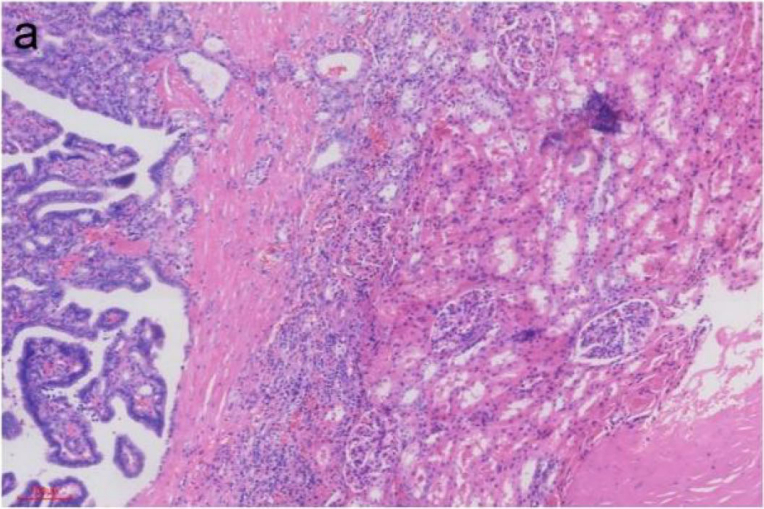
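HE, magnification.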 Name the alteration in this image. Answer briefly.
papillary carcinoma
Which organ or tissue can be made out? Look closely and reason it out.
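Round glomerular tufts sit among tubules on the right. Tubules are lined by pink cuboidal cells around small lumina.
Conclusion: renal tissue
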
